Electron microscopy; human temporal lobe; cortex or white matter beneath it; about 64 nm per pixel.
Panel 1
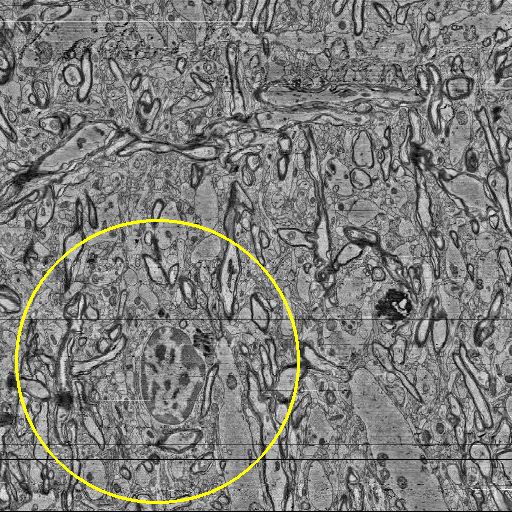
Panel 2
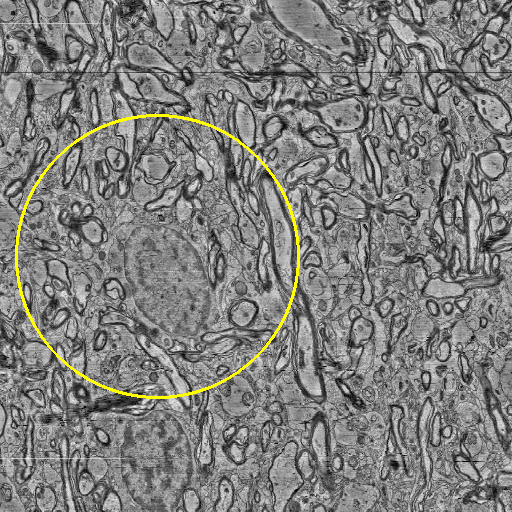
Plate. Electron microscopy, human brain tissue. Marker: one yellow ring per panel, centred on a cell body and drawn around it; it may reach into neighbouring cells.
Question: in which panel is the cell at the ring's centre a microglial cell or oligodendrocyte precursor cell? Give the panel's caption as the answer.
Panel 1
